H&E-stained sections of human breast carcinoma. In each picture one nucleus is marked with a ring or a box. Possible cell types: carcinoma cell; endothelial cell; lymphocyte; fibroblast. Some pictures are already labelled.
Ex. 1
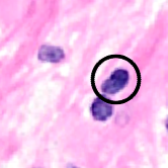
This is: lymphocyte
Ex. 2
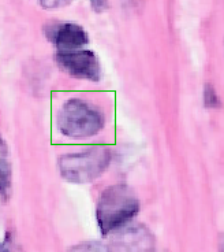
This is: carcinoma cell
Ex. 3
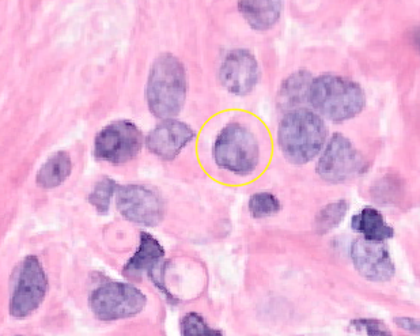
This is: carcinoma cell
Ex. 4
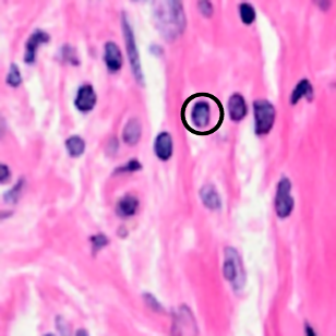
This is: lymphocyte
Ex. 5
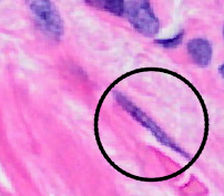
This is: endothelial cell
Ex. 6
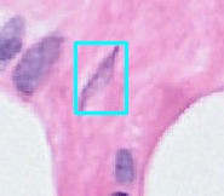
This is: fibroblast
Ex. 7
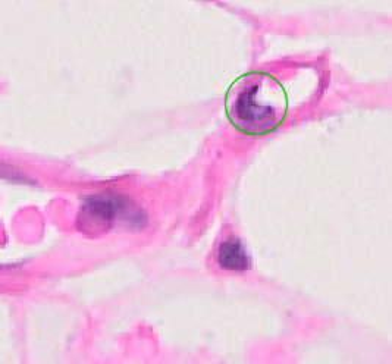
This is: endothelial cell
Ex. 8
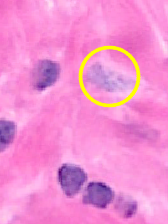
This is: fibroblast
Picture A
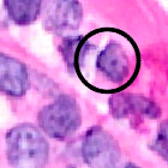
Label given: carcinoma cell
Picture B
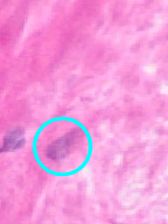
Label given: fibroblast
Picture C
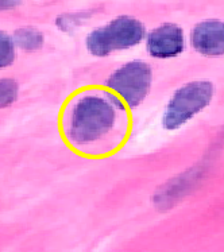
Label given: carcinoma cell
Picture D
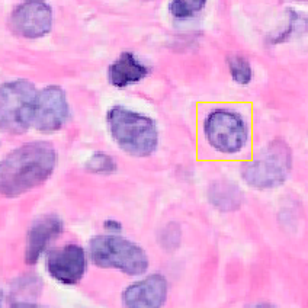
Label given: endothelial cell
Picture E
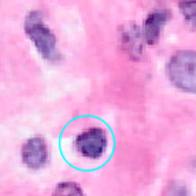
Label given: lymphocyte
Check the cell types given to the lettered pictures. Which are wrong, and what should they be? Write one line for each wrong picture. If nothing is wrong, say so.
D: carcinoma cell, not endothelial cell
